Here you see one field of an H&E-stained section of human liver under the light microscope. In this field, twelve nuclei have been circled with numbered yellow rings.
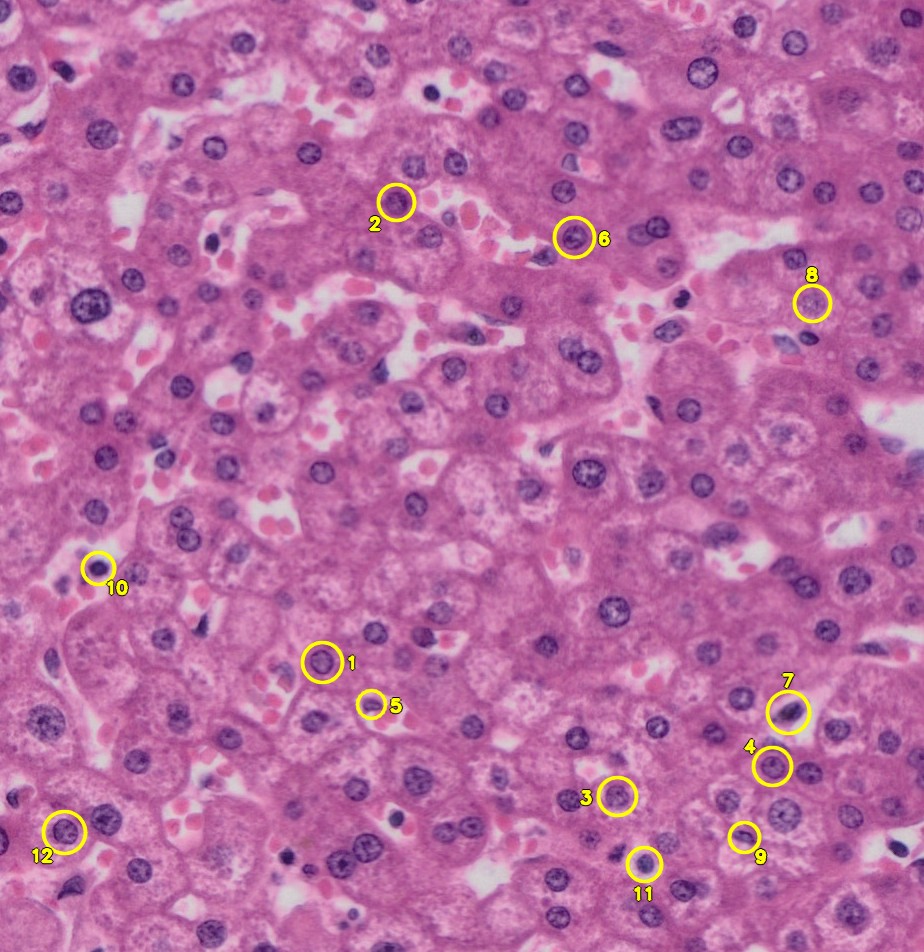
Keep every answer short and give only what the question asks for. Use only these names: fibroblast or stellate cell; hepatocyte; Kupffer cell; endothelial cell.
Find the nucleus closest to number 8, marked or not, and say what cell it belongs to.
fibroblast or stellate cell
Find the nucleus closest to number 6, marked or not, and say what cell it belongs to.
endothelial cell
